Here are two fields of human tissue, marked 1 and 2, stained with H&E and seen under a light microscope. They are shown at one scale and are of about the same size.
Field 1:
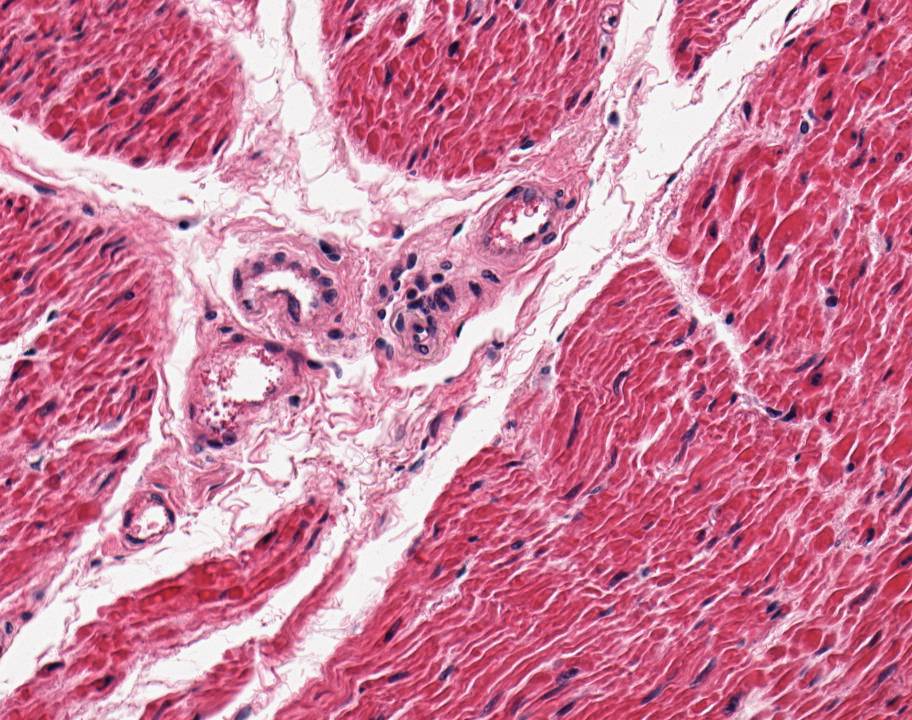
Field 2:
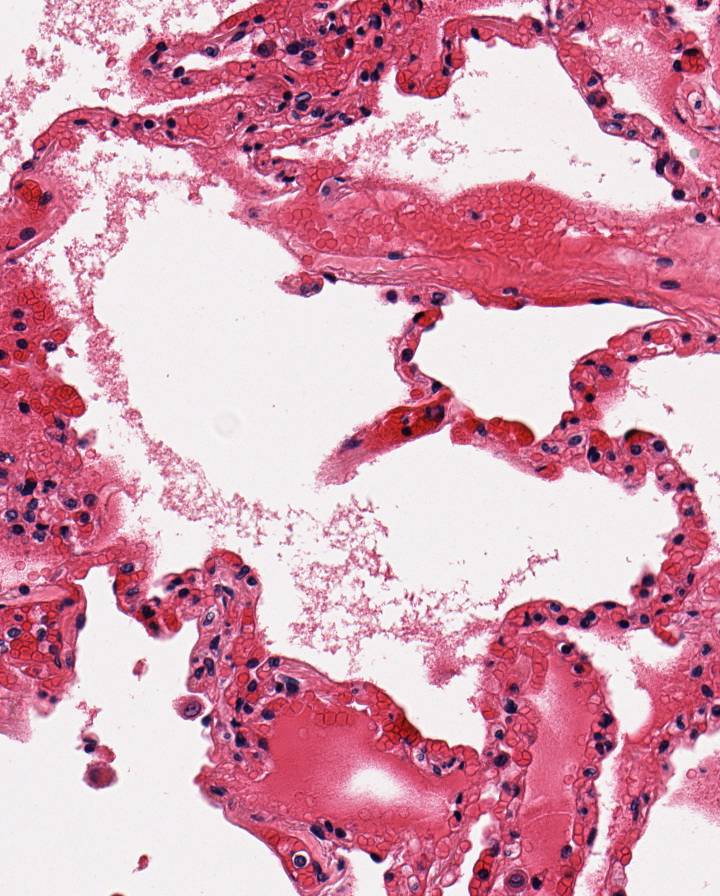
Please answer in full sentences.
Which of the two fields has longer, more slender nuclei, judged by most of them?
It is field 1 whose nuclei are the more elongated.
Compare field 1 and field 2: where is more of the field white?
It is field 2 in which white space covers the larger part.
